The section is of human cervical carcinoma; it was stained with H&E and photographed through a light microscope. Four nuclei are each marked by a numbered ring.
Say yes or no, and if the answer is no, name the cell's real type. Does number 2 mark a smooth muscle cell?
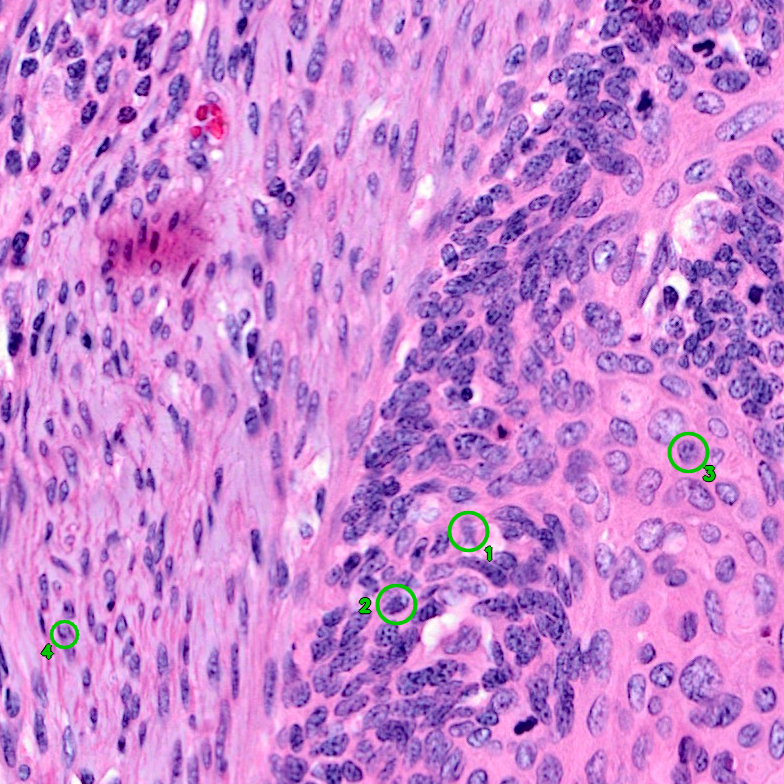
No, it is a squamous carcinoma cell.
